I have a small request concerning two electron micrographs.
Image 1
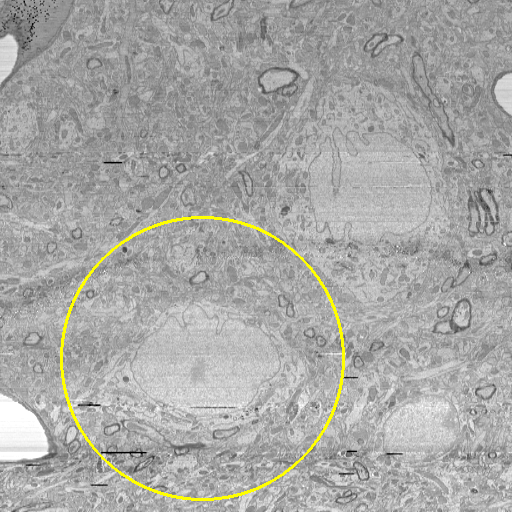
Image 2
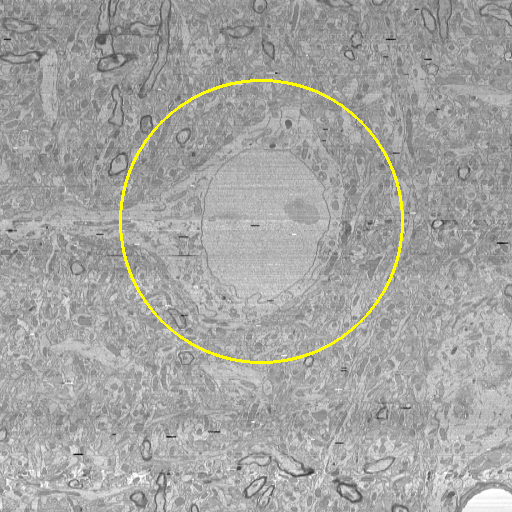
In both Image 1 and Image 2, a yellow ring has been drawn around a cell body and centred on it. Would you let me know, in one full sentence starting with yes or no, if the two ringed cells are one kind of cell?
No, the cells ringed in Image 1 and Image 2 are two kinds of cell.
